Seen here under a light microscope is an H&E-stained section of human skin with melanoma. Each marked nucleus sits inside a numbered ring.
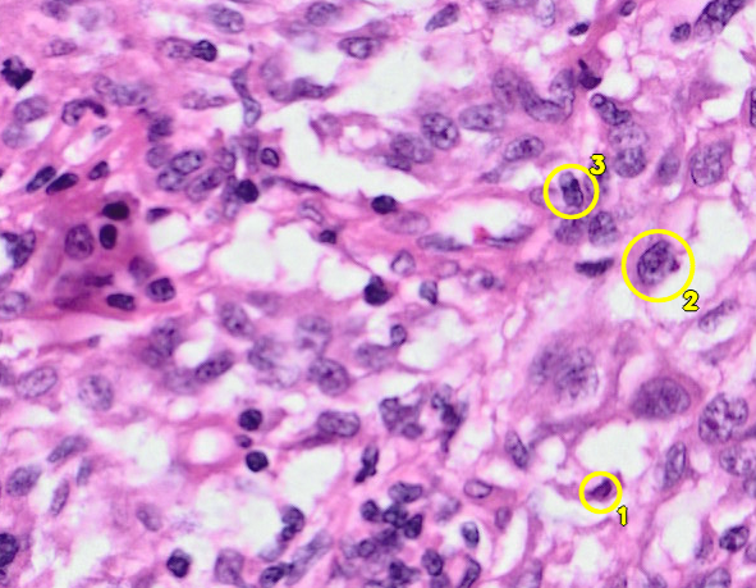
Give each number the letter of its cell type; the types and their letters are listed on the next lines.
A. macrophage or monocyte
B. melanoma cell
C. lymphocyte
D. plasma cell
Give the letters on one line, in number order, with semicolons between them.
B; B; C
